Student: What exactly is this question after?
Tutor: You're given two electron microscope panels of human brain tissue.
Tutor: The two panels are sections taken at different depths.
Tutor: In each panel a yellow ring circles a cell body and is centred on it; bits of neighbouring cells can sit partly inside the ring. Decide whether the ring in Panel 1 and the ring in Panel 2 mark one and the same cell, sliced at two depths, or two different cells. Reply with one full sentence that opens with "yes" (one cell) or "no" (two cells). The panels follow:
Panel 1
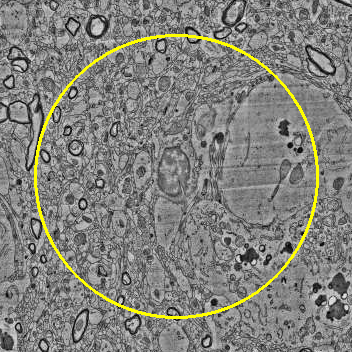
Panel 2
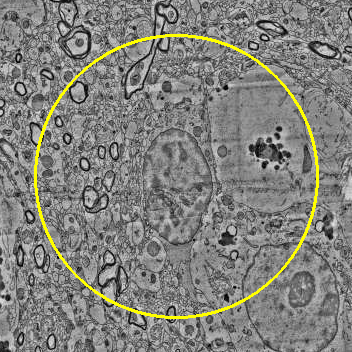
Yes, the two rings belong to one cell, not to two.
